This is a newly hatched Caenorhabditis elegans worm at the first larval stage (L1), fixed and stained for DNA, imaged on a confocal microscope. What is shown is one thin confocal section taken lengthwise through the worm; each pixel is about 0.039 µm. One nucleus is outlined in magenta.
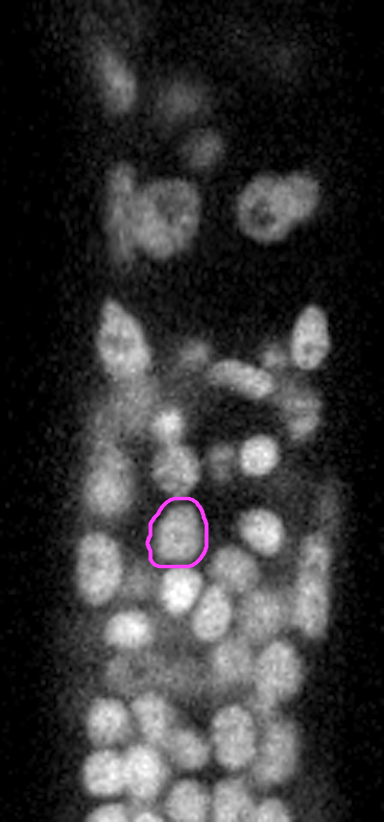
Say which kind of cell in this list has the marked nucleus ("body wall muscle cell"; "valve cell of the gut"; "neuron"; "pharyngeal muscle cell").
pharyngeal muscle cell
